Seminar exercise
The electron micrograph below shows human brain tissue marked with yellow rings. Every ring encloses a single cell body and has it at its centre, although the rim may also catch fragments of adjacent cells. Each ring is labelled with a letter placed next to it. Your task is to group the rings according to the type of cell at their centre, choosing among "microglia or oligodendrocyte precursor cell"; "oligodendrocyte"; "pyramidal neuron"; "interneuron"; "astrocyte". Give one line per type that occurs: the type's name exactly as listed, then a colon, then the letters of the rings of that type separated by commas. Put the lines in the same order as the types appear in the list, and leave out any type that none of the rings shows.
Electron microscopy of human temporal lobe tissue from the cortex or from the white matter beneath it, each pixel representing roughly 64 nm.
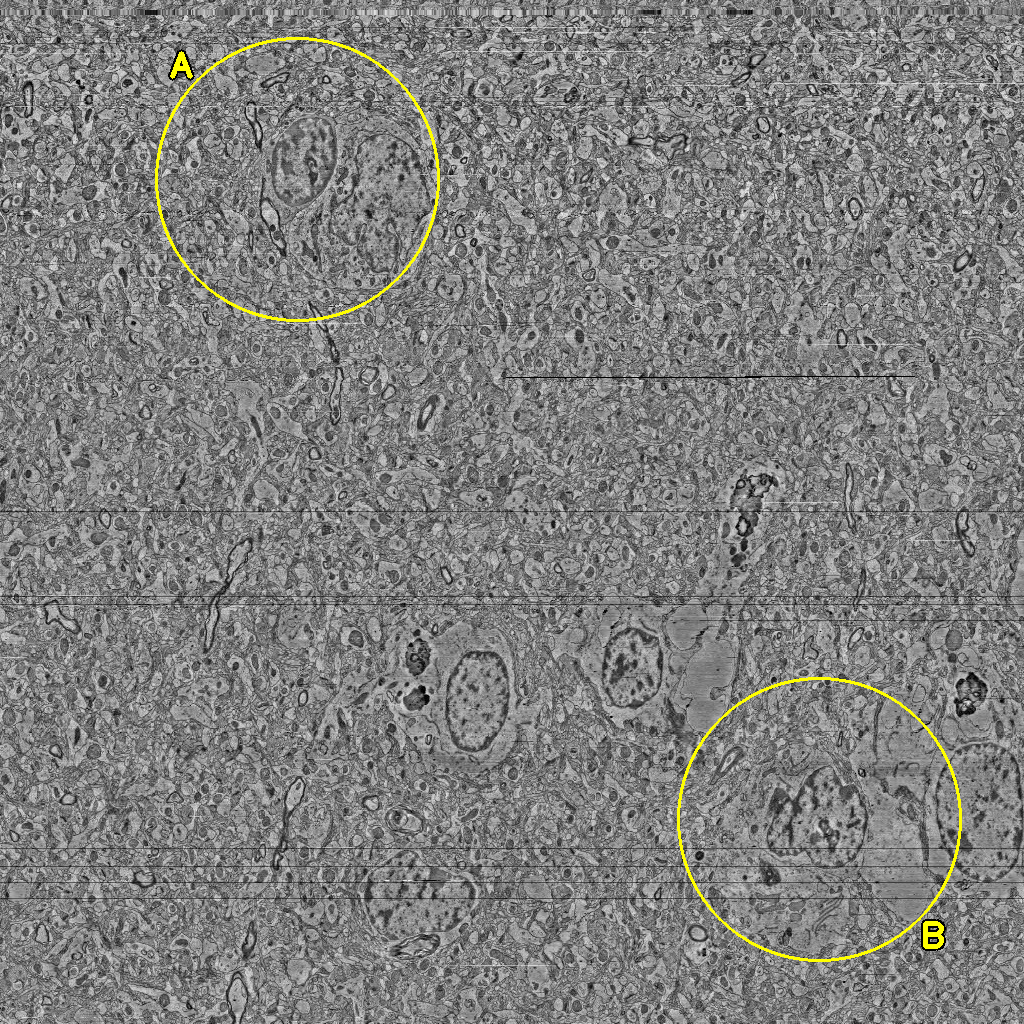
microglia or oligodendrocyte precursor cell: B
oligodendrocyte: A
